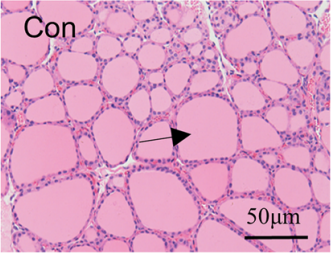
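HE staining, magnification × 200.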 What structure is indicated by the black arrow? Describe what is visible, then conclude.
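The arrow points into a round space filled with homogeneous pink material. The space is rimmed by a single layer of flat to cuboidal cells with purple nuclei. Many similar rounded units of varying size pack the tissue.
Hence: thyroid follicle.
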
